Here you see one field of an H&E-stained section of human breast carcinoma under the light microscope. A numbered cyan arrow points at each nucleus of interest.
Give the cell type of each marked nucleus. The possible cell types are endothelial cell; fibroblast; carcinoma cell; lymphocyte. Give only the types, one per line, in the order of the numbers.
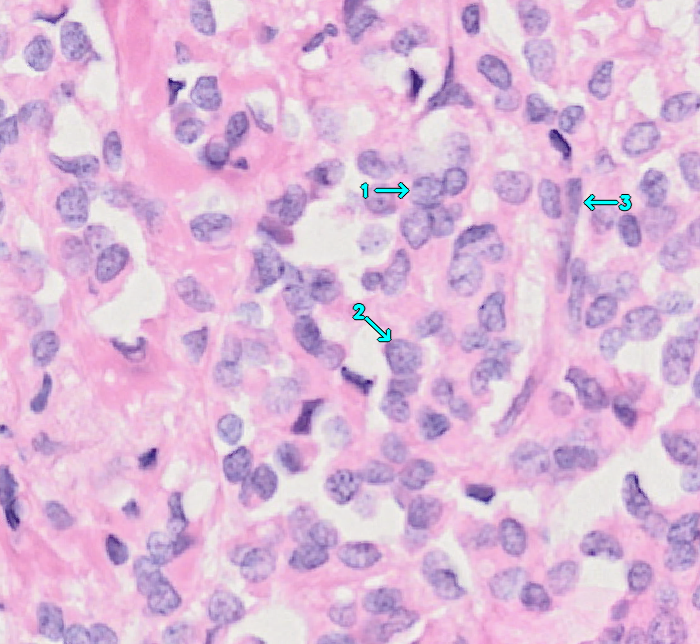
carcinoma cell
carcinoma cell
endothelial cell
